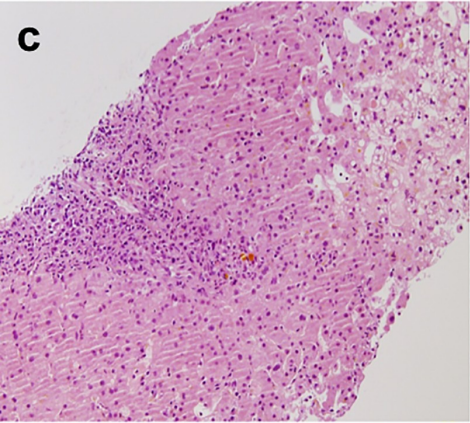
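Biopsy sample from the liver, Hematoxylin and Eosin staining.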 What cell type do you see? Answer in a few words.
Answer: Lymphocytes.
